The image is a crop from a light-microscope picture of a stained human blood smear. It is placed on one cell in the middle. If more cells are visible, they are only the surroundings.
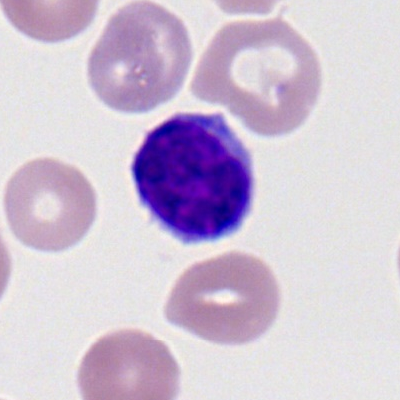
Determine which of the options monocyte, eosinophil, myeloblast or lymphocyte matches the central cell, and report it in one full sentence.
Among the cells in view, the one in the middle is a lymphocyte.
